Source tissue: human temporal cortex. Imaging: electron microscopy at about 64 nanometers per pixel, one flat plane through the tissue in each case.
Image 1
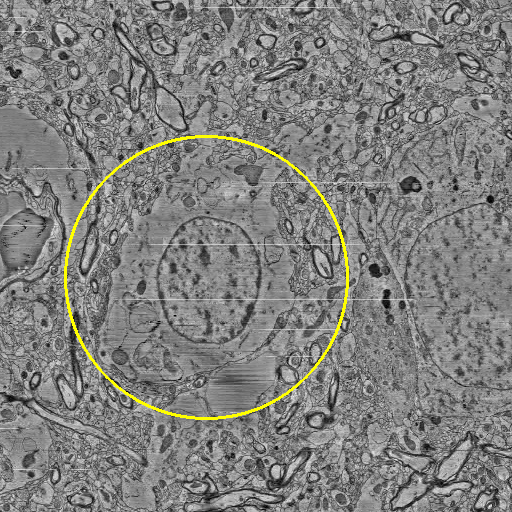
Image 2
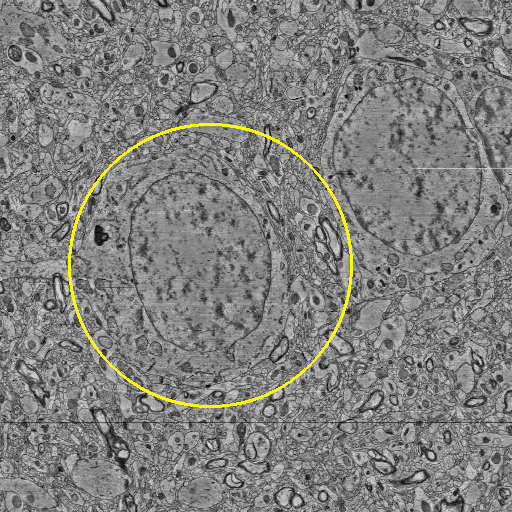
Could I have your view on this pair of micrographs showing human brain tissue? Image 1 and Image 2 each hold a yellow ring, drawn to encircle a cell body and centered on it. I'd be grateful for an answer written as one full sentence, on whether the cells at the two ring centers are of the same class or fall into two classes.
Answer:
The cells at the centers of the two rings fall into two classes.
